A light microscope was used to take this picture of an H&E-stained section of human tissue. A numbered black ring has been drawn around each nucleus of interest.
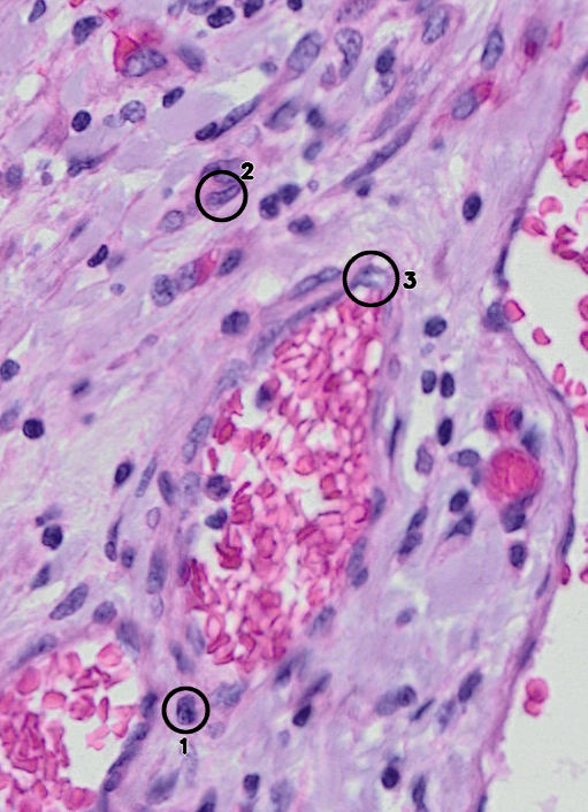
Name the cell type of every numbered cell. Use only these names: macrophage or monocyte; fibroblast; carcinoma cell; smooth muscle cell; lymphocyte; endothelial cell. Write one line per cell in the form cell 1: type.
cell 1: lymphocyte
cell 2: endothelial cell
cell 3: endothelial cell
